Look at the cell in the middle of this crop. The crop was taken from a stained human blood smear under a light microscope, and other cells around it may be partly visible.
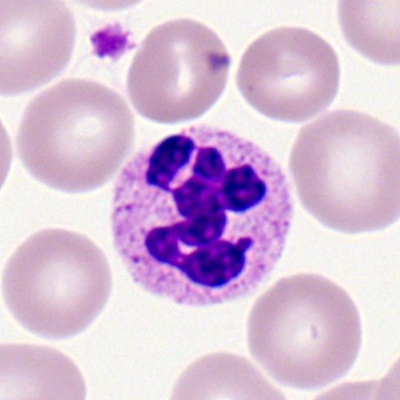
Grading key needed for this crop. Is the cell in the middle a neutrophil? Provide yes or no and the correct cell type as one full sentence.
Yes, the cell under consideration, the one in the middle, is a neutrophil.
